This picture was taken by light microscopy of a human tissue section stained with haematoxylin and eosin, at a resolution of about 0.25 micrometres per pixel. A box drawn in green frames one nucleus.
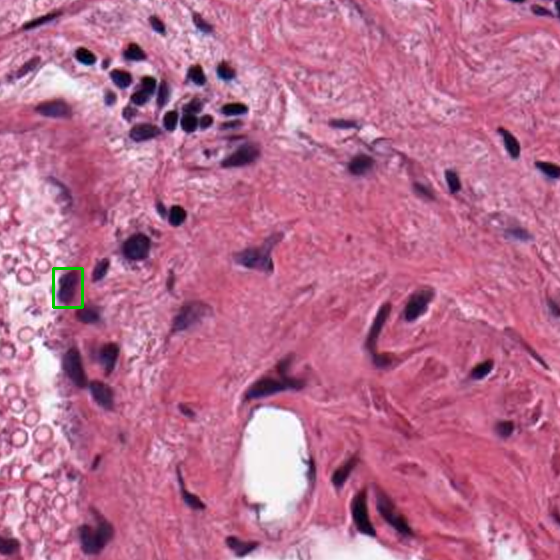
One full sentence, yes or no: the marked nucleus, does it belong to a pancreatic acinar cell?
No, for the marked nucleus, the owning cell is a supporting cell, not a pancreatic acinar cell.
